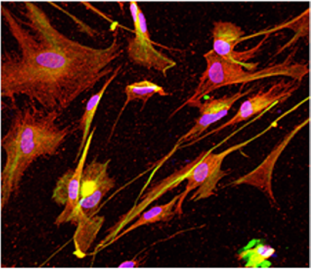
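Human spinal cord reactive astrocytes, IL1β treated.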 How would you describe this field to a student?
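Many cells are elongated or spindle-shaped and extend long, thin processes that cross the field, some reaching neighbouring cells. The cytoplasm and processes show red filaments, with green and yellow overlap concentrated near the nuclei and along some processes.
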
